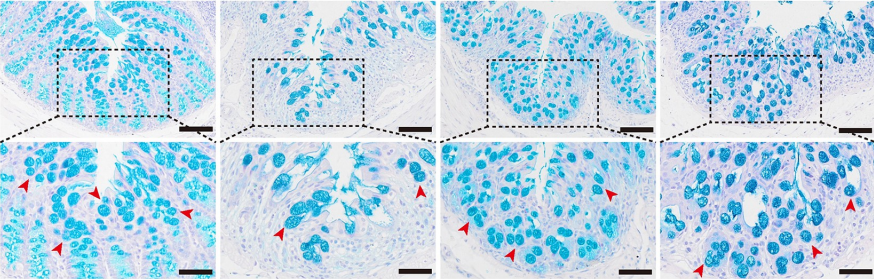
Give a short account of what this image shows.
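Colonic mucosa in which goblet cells stand out as rounded cells packed with turquoise-blue mucin, set among the columnar epithelial cells of the tubular crypts, whose nuclei are small and dark. In most columns the goblet cells are numerous and densely arranged along the crypts from the surface to the base. In one column the crypt architecture is largely lost, goblet cells are few and clustered, and the lamina propria between them is crowded with many small nuclei. The pale purple background is the surrounding connective tissue of the lamina propria and submucosa.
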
